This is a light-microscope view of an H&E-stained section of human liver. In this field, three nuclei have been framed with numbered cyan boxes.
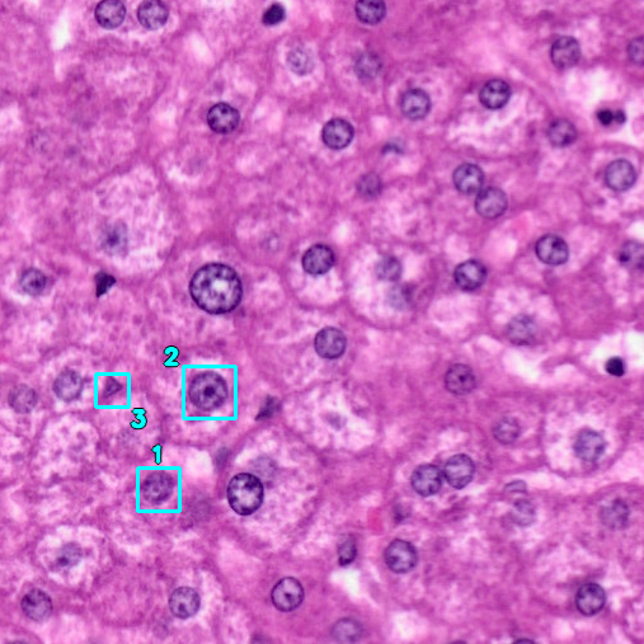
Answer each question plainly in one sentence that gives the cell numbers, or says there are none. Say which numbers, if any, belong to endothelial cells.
The numbered cell that is an endothelial cell is cell 3, and it is the only one.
